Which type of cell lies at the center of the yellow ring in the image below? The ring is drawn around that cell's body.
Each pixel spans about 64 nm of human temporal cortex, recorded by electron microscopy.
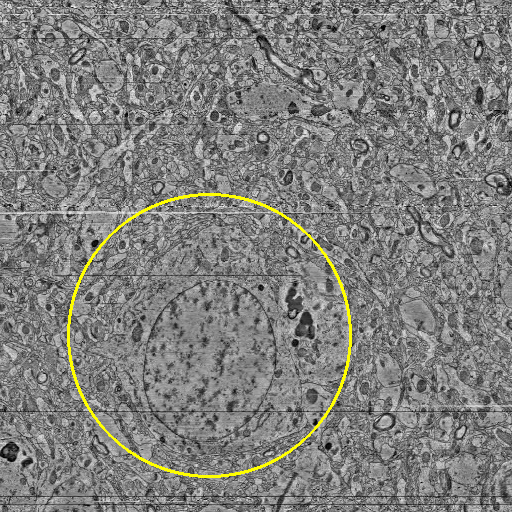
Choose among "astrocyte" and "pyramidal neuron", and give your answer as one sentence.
The cell body at the center belongs to a pyramidal neuron.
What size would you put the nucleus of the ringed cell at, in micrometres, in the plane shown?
Roughly 11 by 9 micrometres in this plane, for the nucleus of the ringed cell.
